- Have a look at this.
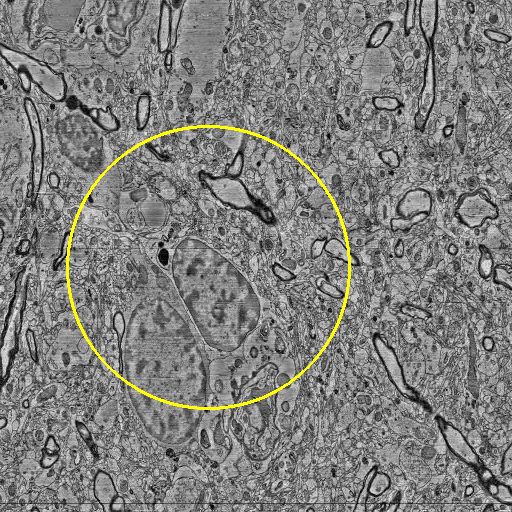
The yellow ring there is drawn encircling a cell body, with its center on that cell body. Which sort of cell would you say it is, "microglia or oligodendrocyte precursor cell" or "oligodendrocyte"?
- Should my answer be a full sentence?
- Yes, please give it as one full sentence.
For this picture, a microglial cell or oligodendrocyte precursor cell is the cell where the yellow ring has its center.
